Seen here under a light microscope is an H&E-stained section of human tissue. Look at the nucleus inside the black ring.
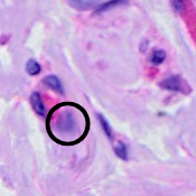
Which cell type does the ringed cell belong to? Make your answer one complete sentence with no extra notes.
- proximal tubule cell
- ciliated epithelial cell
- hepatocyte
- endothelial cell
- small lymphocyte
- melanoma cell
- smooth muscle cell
Microscopically, the ringed cell is categorized as an endothelial cell.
